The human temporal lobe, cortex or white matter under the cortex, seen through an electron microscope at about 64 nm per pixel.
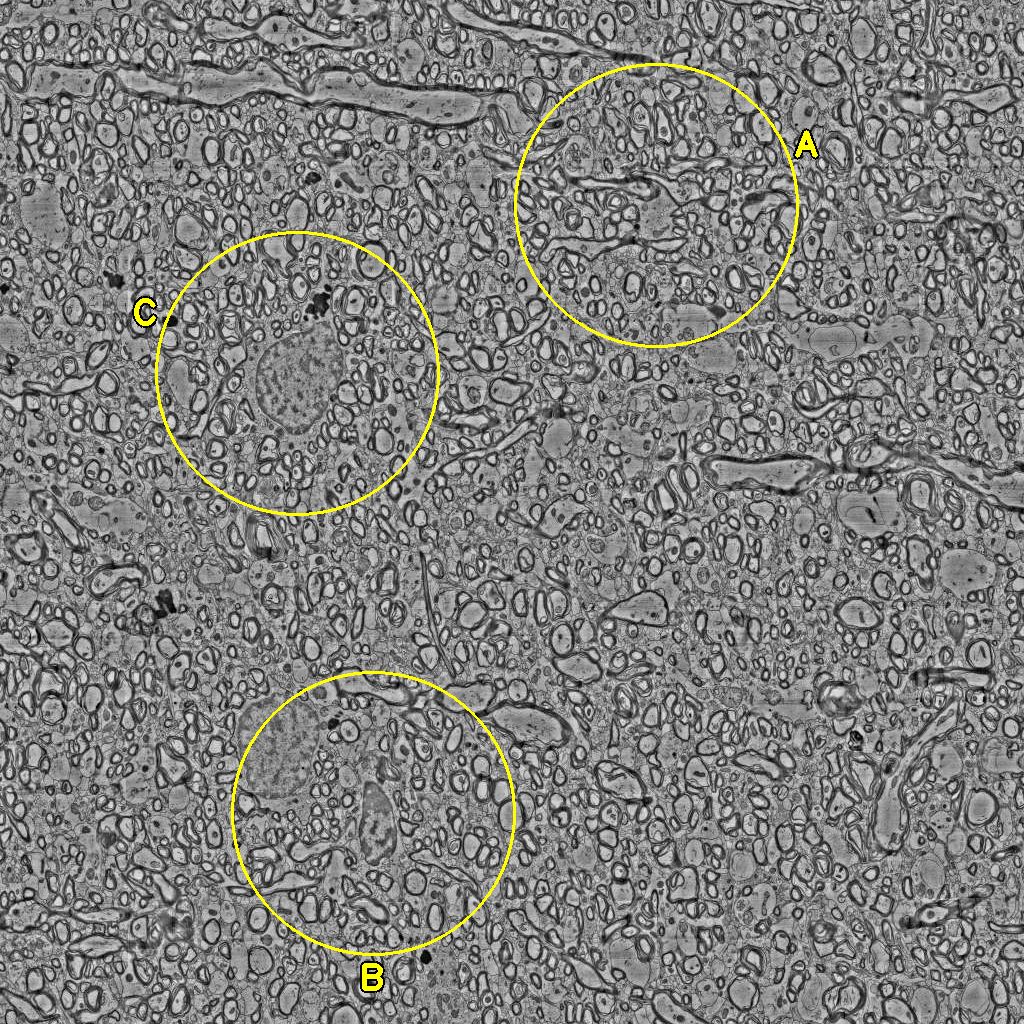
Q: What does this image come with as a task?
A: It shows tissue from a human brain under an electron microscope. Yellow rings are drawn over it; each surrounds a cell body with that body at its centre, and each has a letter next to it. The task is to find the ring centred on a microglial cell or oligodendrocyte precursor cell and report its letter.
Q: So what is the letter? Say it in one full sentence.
It is B, the letter of the ring centred on the cell asked for in the picture.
